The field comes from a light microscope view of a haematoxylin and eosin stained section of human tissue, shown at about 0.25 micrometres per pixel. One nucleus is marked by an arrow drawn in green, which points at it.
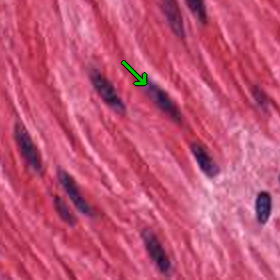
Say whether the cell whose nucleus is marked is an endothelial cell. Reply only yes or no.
no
